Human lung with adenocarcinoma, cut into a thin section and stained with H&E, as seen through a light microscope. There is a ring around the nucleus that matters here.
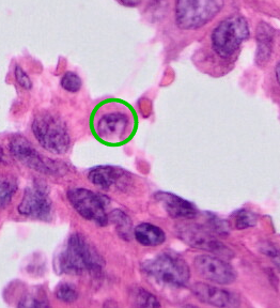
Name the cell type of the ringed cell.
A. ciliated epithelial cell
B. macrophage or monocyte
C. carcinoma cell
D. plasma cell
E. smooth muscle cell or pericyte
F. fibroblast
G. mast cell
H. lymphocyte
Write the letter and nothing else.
B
